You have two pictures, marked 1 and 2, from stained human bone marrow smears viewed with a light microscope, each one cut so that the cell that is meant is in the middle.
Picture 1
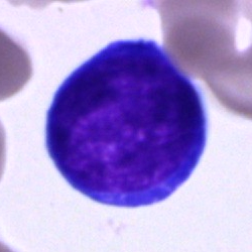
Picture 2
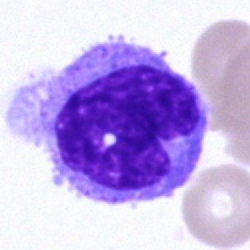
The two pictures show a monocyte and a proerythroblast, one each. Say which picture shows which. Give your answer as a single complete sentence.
Picture 1 is of a proerythroblast, and picture 2 is of a monocyte.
